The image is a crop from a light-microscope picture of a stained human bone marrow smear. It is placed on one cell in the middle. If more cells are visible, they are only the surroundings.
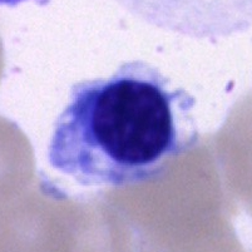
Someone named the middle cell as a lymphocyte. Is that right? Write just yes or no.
no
